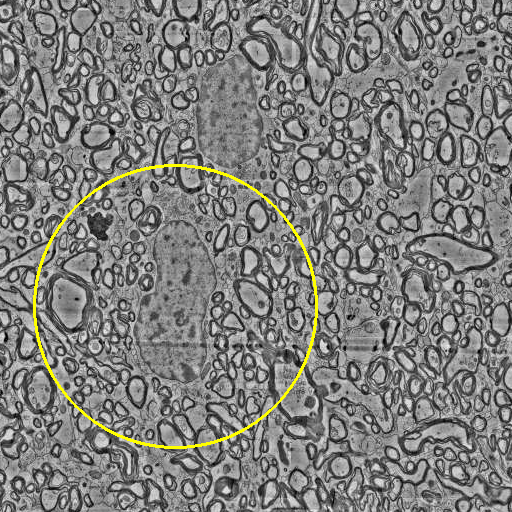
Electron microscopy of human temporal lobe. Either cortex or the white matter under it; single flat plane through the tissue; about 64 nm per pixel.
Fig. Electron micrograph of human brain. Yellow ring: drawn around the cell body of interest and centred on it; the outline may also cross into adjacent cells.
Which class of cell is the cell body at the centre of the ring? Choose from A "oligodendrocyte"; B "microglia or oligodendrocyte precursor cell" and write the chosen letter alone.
B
